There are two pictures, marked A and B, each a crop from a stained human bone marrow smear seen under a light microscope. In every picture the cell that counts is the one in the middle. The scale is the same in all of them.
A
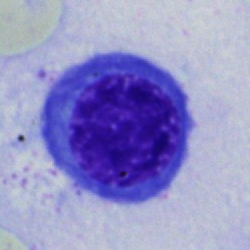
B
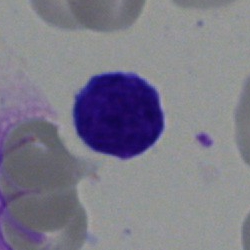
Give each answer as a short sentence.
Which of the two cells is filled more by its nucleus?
Of the two, the nucleus in picture B makes up the greater part of its cell.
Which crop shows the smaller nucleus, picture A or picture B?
It is the nucleus in picture B; the one in picture A has about 1.5 times its area.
